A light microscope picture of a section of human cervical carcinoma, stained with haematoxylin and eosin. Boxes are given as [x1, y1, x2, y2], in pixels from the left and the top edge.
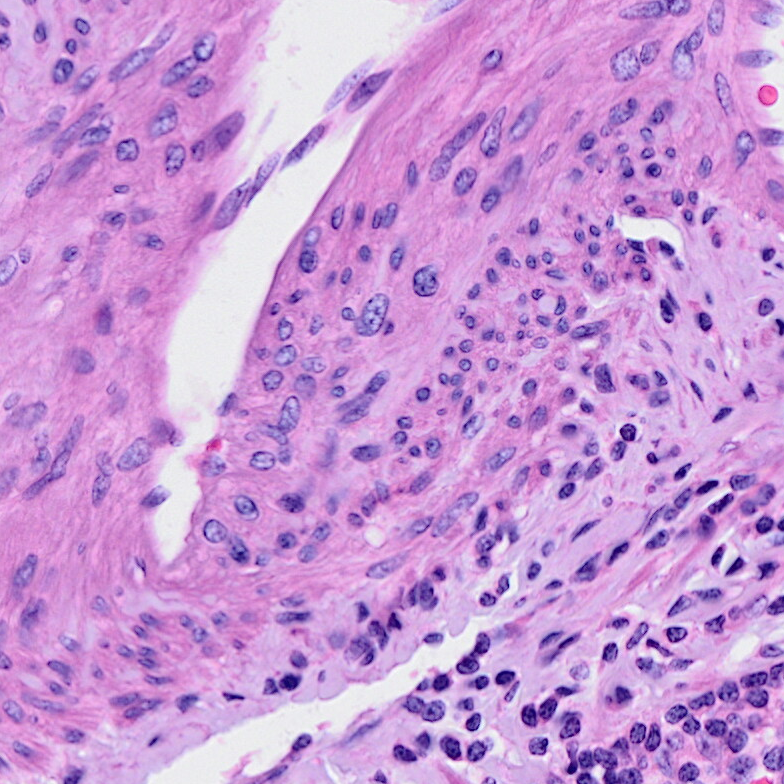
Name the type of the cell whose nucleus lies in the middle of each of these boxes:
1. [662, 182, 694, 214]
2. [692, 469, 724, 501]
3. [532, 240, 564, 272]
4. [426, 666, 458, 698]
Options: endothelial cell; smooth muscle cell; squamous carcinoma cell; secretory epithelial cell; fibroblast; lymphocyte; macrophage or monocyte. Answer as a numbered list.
1. smooth muscle cell
2. lymphocyte
3. smooth muscle cell
4. lymphocyte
